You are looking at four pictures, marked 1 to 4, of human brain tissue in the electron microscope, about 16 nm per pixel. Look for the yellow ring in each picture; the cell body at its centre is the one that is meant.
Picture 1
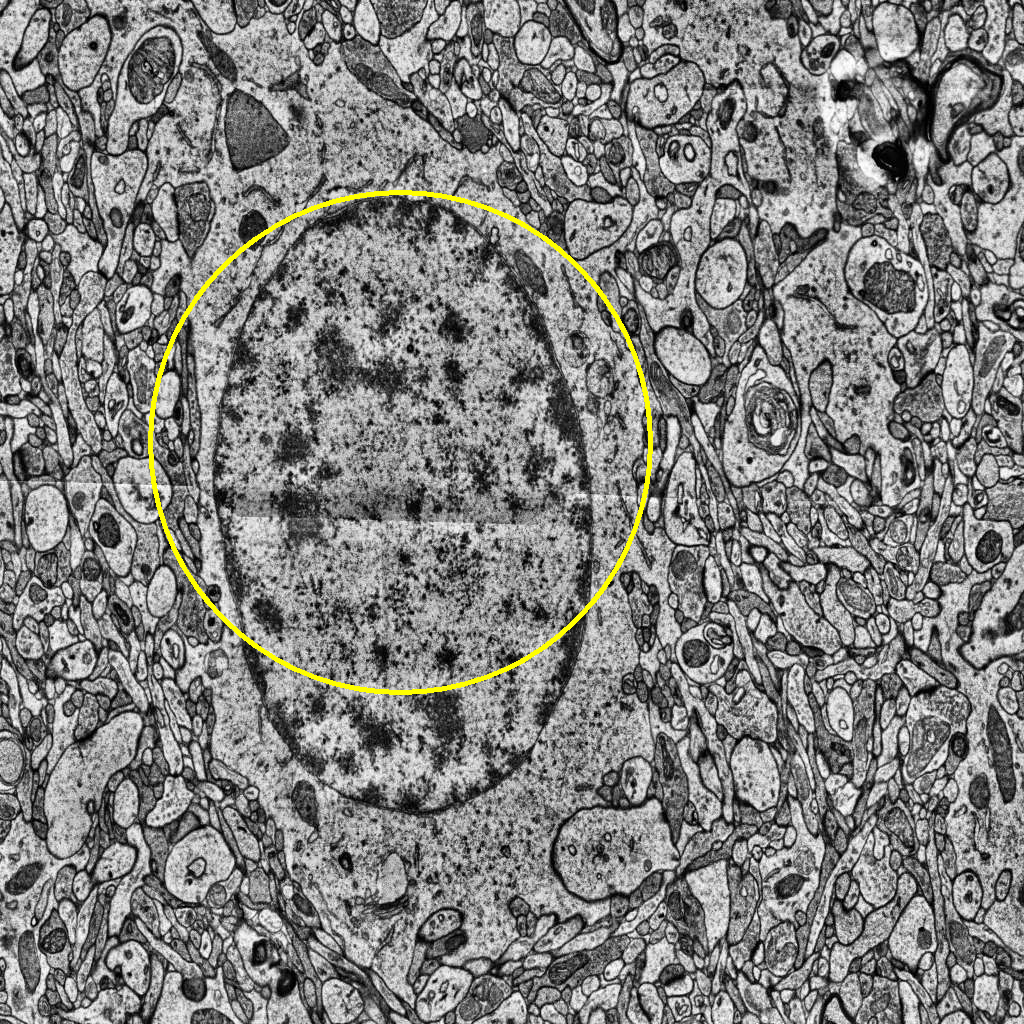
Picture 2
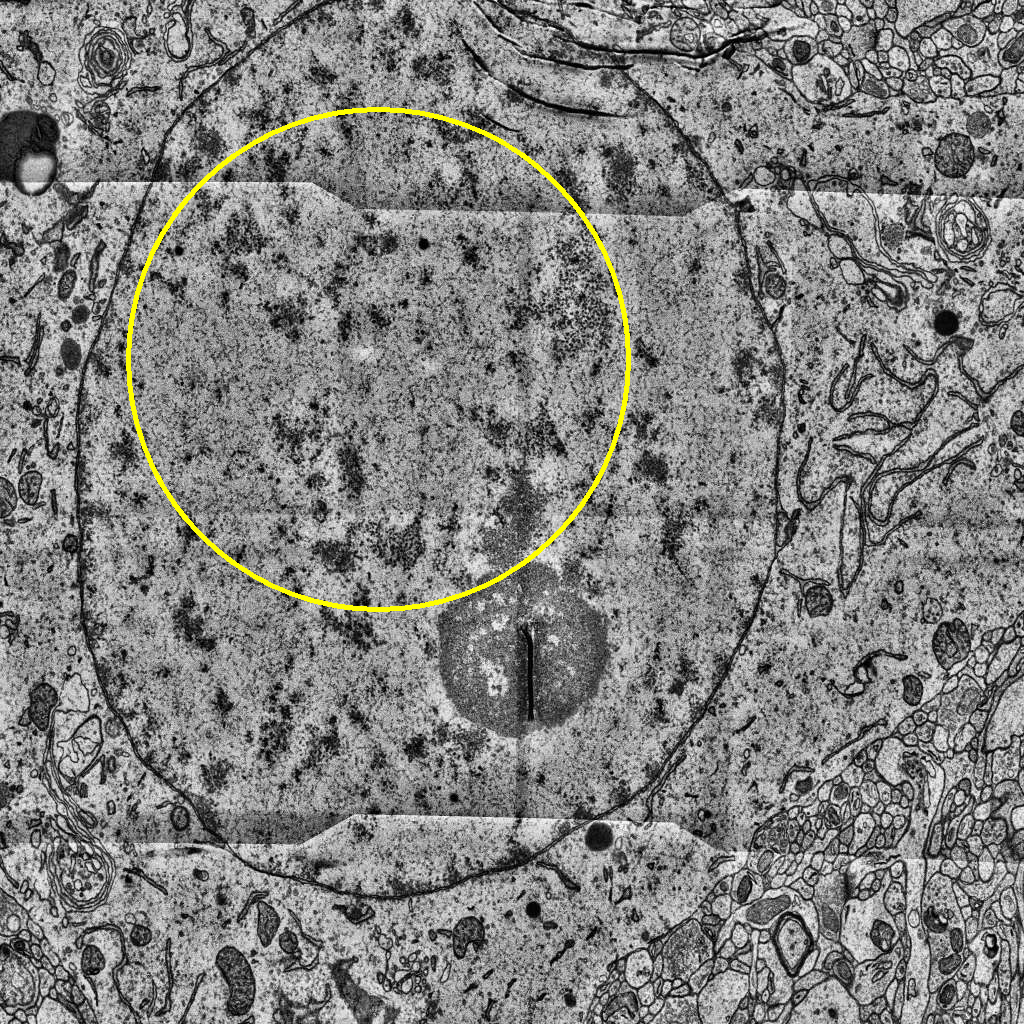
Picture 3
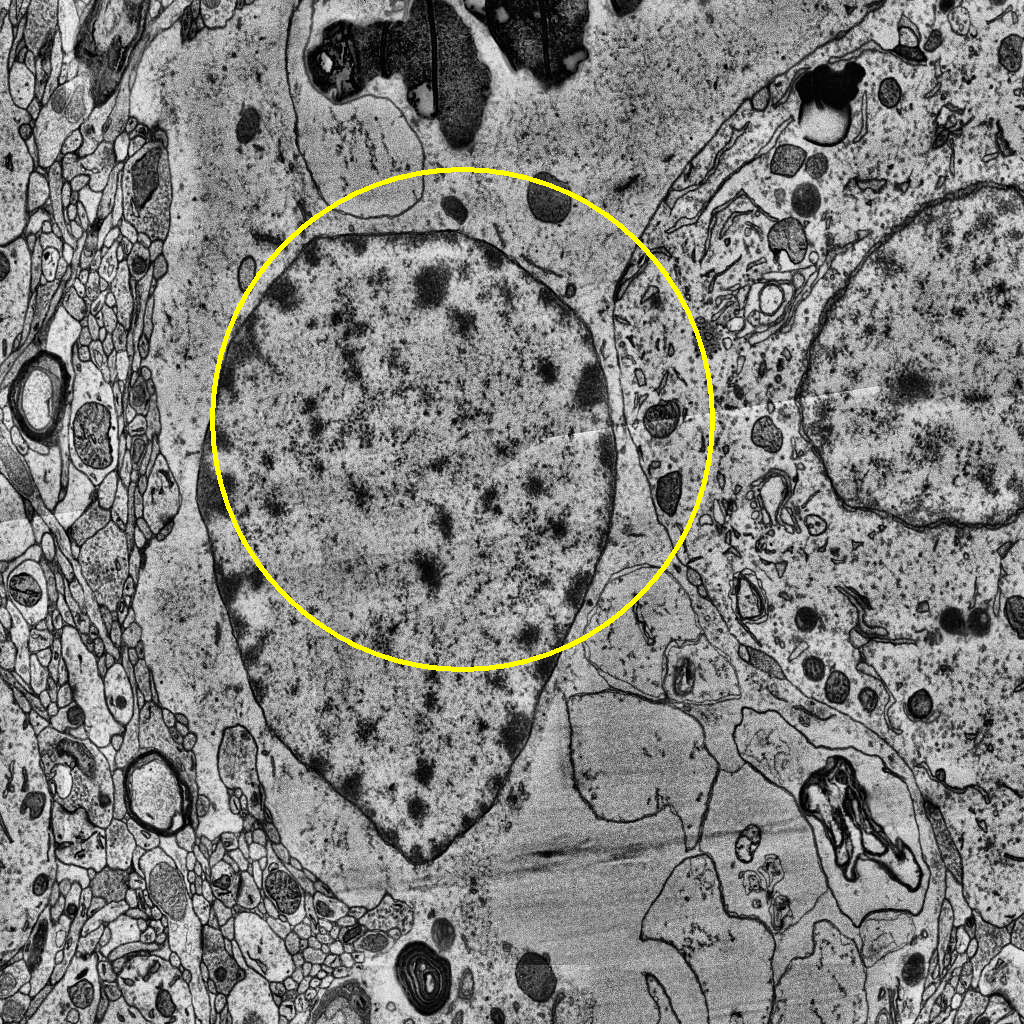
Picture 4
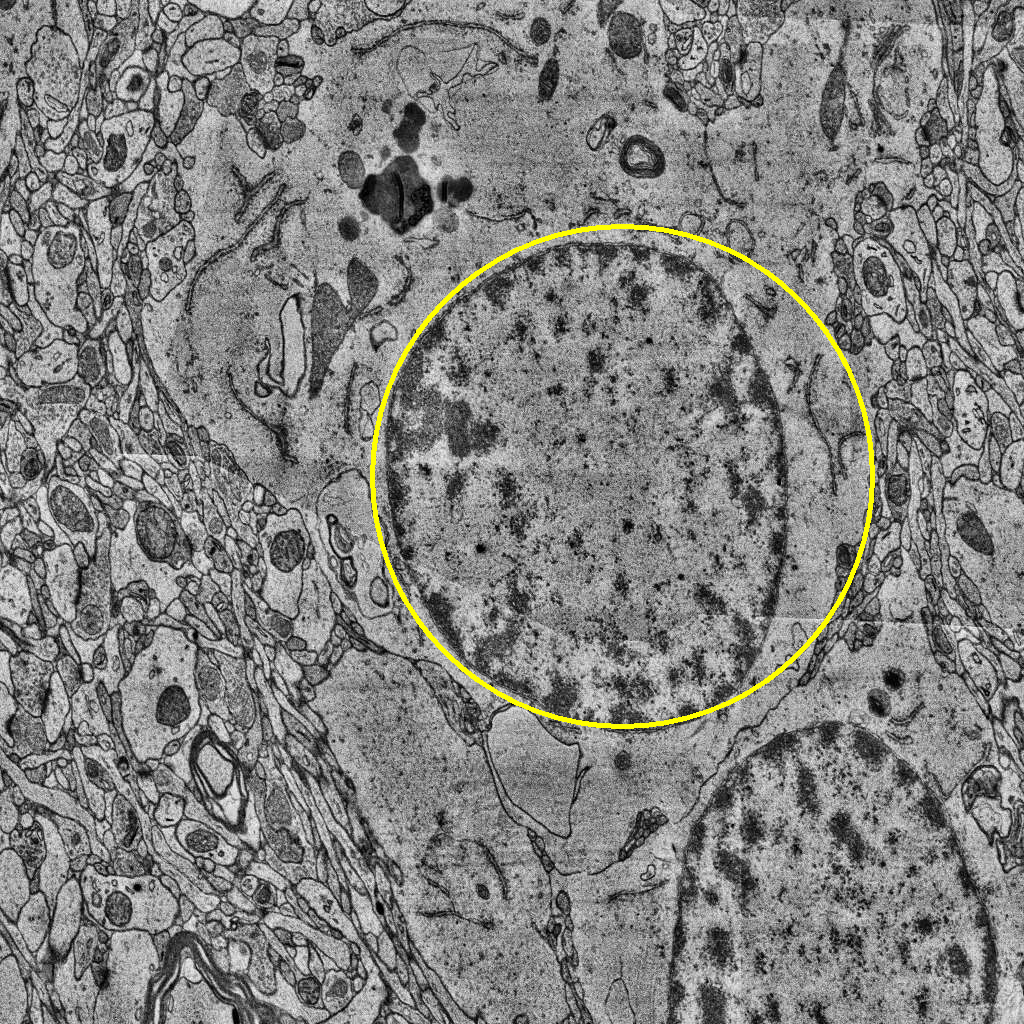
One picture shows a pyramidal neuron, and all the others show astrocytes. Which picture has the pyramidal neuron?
Picture 2 is the one that shows the pyramidal neuron.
